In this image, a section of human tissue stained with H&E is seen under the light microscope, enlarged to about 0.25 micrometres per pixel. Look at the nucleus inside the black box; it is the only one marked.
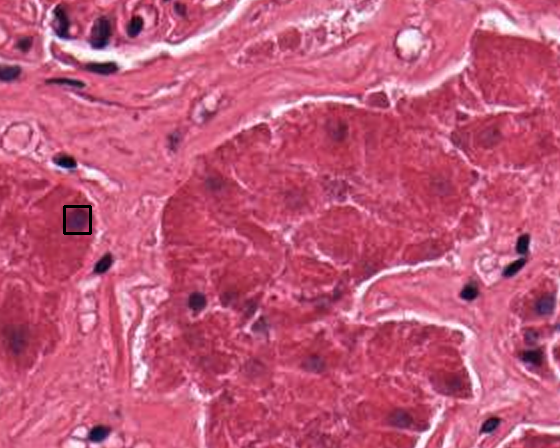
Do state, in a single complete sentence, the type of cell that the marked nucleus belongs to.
The mark indicates the nucleus of a proximal tubule cell.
